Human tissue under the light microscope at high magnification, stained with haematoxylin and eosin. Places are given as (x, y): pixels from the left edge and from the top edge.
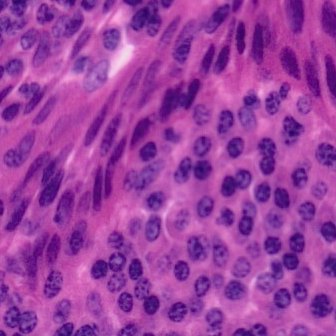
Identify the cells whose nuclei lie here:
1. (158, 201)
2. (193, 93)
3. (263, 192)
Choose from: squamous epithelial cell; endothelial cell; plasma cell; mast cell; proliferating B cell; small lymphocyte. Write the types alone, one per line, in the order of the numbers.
plasma cell
squamous epithelial cell
plasma cell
